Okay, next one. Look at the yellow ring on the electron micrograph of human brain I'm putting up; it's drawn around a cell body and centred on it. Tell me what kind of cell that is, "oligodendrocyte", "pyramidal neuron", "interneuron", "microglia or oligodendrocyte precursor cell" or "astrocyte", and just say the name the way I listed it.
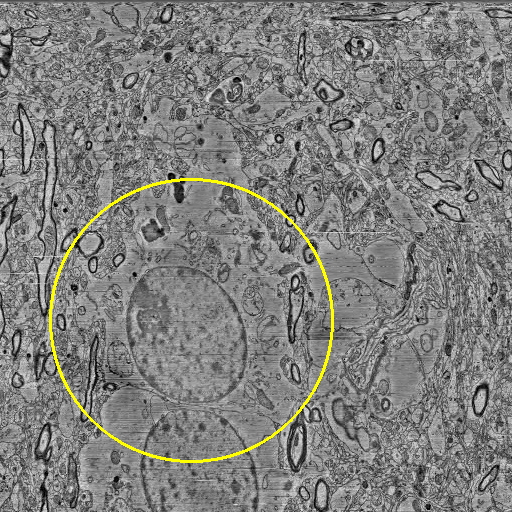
astrocyte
